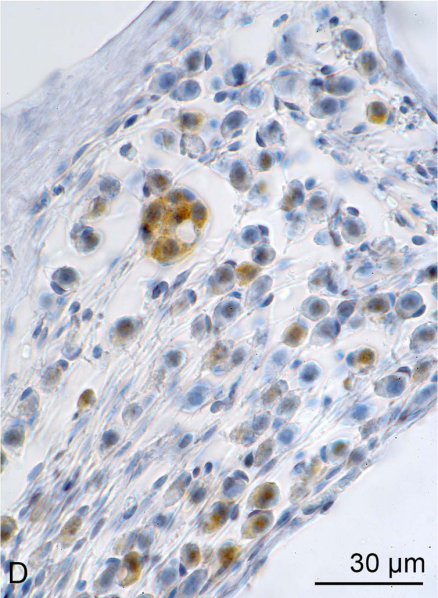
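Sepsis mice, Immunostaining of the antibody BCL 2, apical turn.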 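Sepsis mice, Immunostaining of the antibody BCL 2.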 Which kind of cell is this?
spiral ganglion cells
